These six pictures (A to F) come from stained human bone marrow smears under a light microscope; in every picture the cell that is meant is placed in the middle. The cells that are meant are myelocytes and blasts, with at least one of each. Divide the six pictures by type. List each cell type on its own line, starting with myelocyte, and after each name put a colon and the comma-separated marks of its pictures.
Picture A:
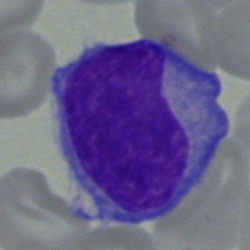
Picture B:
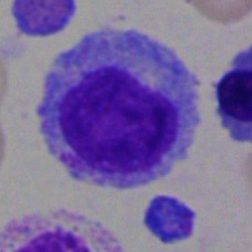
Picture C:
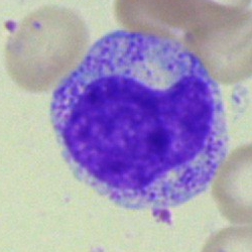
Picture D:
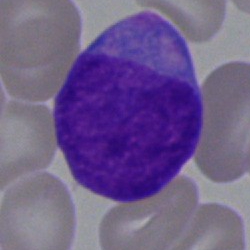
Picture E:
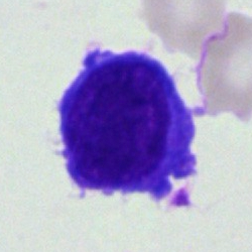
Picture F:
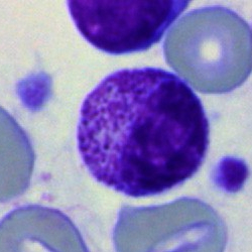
myelocyte: B, C, F
blast: A, D, E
